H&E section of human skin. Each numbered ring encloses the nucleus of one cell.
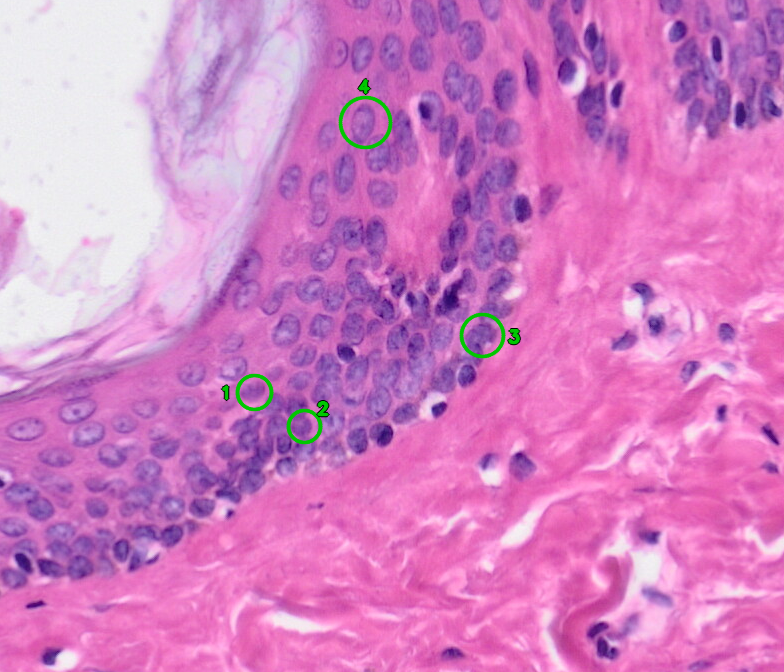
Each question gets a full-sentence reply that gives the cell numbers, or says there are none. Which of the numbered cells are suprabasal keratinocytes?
None but cell 4 among the numbered cells is a suprabasal keratinocyte.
